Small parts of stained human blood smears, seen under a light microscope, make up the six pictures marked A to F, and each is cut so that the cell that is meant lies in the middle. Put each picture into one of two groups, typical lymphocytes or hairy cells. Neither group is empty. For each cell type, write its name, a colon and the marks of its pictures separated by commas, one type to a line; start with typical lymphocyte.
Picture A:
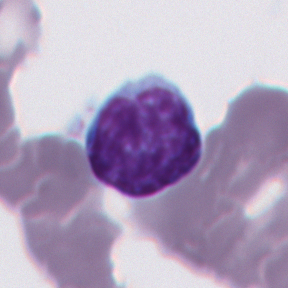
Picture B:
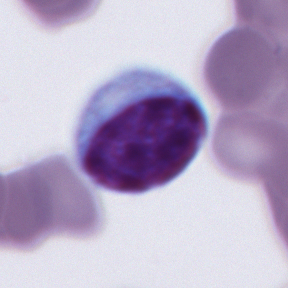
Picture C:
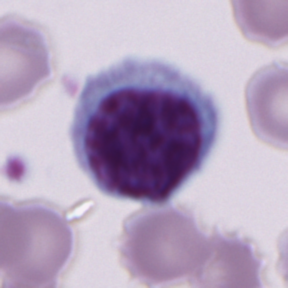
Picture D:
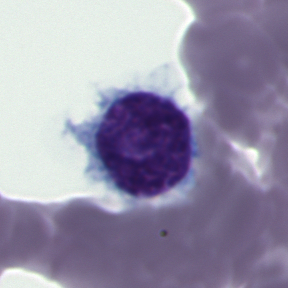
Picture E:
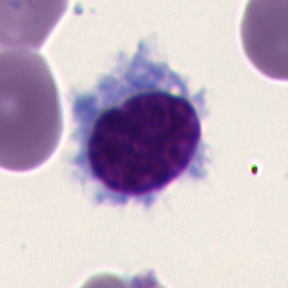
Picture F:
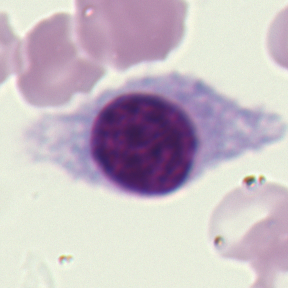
typical lymphocyte: A, B, C
hairy cell: D, E, F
